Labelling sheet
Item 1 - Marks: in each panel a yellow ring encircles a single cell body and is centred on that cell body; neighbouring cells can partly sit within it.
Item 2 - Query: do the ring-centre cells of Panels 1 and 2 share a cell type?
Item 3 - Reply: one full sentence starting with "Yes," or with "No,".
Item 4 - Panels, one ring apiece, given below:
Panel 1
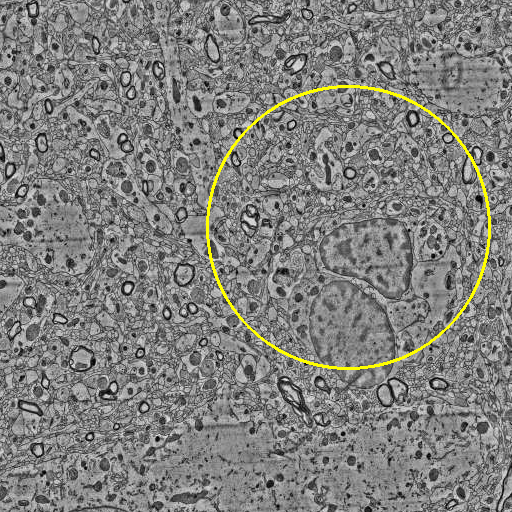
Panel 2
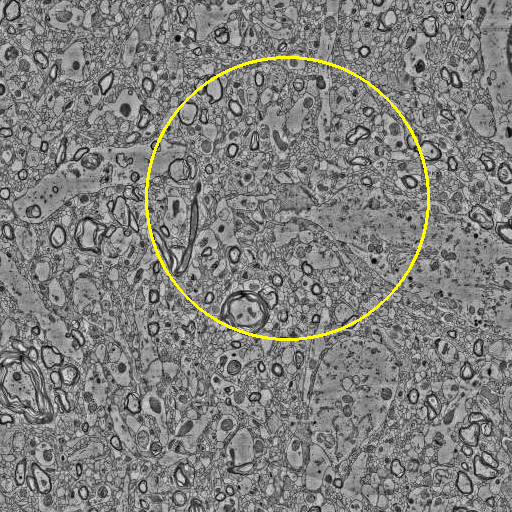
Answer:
No, Panel 1 and Panel 2 show two cell types at the centres of their rings.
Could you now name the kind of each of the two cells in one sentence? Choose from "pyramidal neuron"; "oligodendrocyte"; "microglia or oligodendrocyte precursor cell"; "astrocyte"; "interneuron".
The first ring encloses a microglial cell or oligodendrocyte precursor cell; the second ring encloses an oligodendrocyte.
